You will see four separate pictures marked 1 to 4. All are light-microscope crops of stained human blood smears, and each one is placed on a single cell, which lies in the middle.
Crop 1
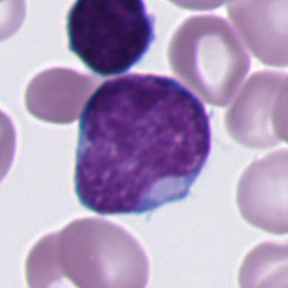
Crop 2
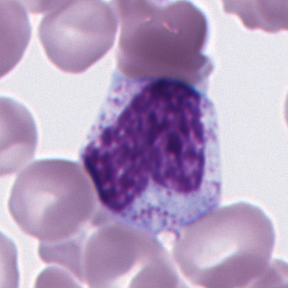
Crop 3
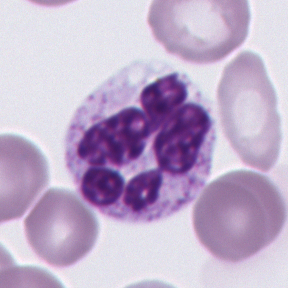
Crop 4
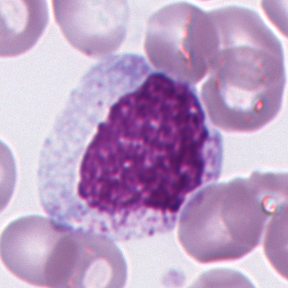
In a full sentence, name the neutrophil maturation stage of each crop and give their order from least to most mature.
Maturity rises in the sequence crop 1 (a myeloblast), crop 4 (a myelocyte), crop 2 (a band neutrophil) and crop 3 (a segmented neutrophil).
